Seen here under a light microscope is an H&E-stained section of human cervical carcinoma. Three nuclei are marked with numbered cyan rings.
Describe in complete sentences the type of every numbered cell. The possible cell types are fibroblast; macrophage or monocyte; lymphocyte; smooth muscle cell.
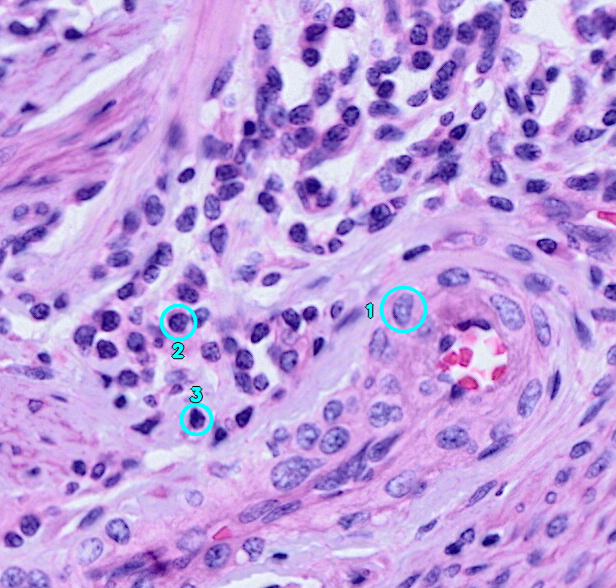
Cell 1 is a smooth muscle cell. Cells 2 and 3 are lymphocytes.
